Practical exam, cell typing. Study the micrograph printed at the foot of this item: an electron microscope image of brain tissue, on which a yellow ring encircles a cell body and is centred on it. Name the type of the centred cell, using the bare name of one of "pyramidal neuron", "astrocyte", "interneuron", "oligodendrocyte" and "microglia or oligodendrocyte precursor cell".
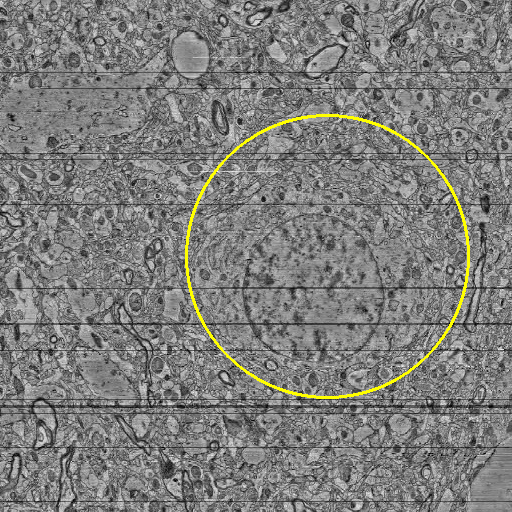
interneuron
